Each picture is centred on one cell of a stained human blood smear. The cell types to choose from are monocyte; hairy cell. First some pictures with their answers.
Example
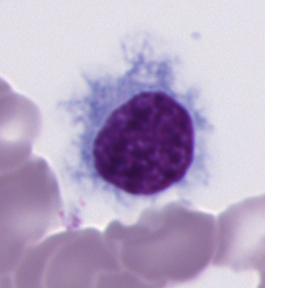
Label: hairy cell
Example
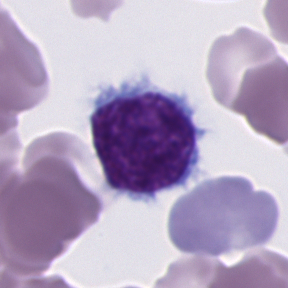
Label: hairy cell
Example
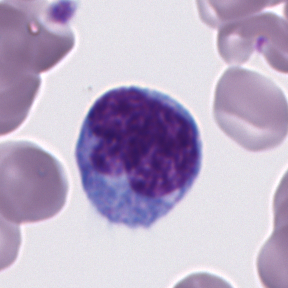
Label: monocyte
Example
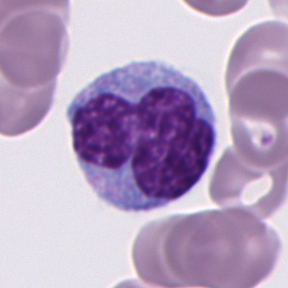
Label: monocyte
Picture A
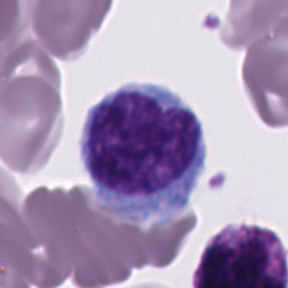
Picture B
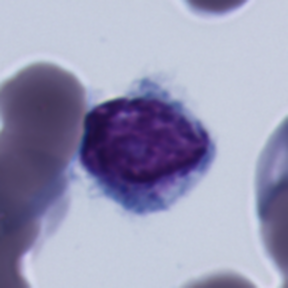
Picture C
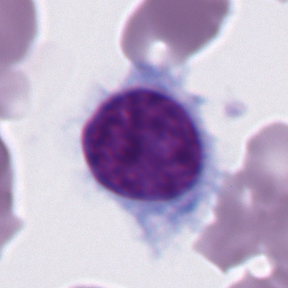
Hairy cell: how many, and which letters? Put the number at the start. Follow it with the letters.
Count: 2 (B, C)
